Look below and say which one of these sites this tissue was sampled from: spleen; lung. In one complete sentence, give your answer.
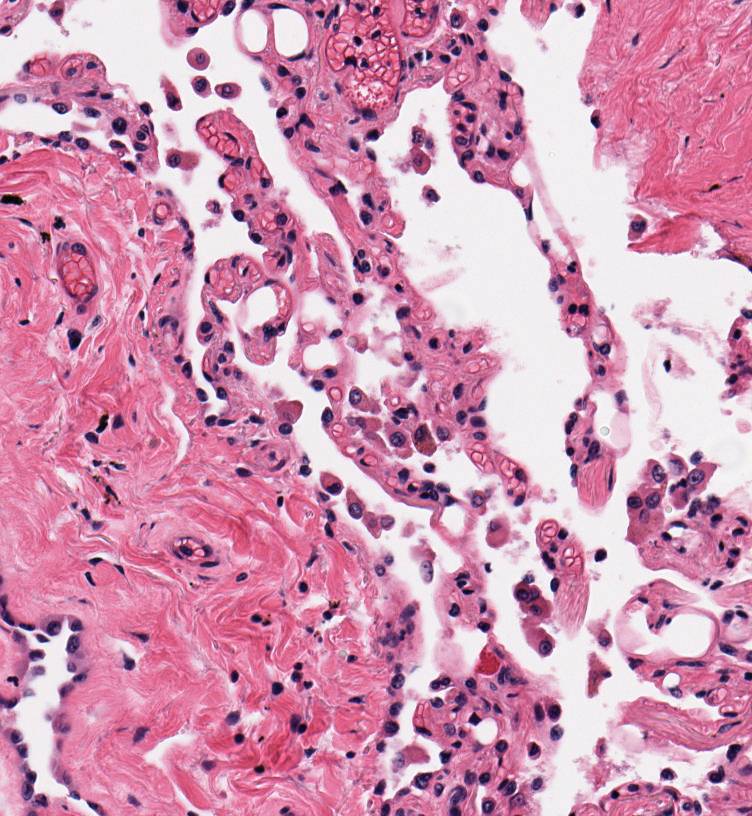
The slide carries a tissue sample from the lung.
